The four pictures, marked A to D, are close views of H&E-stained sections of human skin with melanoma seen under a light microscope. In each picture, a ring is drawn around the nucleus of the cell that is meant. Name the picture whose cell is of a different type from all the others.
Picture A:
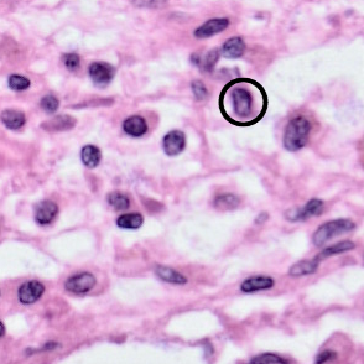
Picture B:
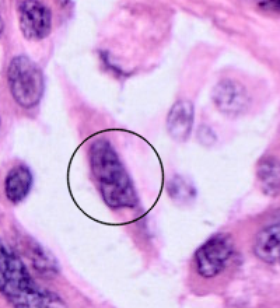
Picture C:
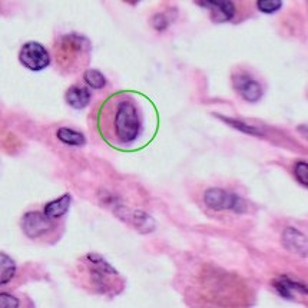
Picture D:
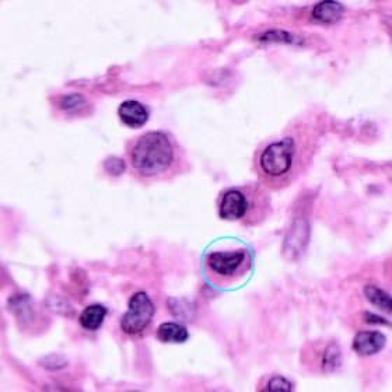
B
